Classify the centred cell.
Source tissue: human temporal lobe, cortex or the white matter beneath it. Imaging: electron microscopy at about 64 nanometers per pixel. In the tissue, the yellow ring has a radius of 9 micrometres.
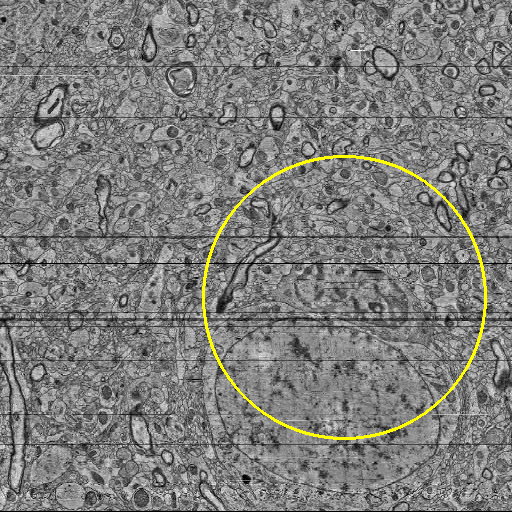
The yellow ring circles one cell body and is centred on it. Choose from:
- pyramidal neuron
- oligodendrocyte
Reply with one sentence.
The ring is centred on an oligodendrocyte.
